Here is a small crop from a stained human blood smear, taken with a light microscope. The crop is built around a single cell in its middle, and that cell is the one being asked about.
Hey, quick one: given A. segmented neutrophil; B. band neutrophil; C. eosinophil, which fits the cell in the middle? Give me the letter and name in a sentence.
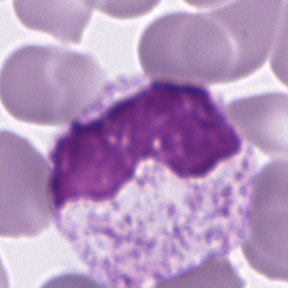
The cell in the center of this crop is a band neutrophil, so option B is the one to pick.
